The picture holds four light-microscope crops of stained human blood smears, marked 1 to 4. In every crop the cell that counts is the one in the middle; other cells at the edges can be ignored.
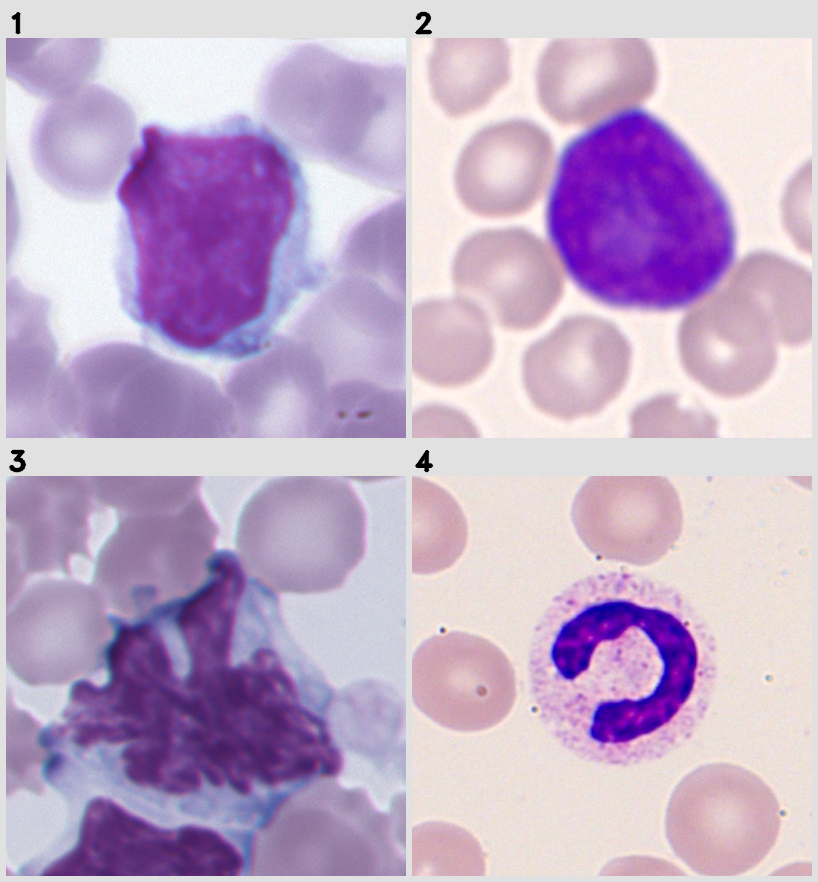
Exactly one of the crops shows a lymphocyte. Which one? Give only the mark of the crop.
1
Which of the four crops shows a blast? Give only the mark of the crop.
2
